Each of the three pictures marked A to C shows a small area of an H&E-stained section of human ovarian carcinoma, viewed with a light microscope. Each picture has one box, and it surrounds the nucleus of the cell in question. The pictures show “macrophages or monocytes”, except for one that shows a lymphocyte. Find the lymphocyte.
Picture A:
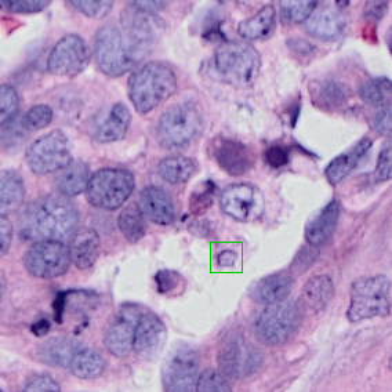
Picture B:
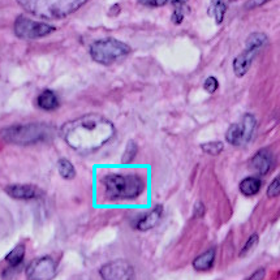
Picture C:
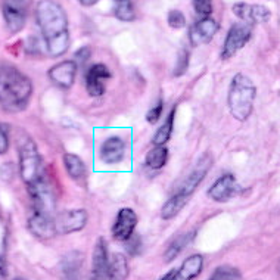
C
